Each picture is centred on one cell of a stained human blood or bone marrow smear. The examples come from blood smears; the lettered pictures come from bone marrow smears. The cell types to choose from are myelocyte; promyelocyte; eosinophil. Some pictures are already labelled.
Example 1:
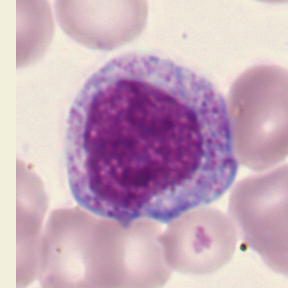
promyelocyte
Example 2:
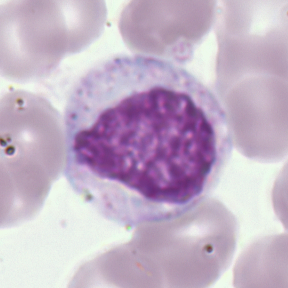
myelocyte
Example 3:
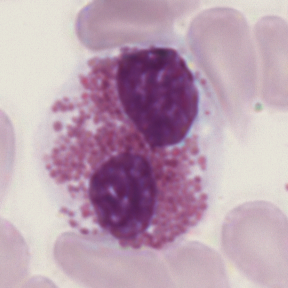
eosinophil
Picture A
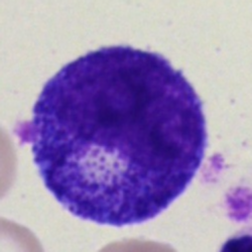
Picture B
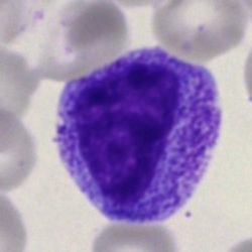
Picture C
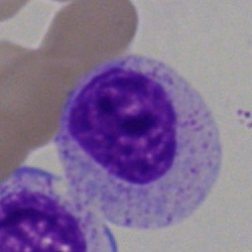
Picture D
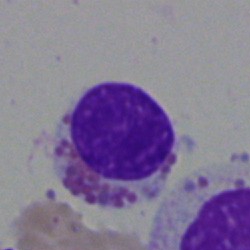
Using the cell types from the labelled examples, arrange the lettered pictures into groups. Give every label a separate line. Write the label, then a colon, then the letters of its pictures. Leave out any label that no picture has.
myelocyte: B, C
promyelocyte: A
eosinophil: D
